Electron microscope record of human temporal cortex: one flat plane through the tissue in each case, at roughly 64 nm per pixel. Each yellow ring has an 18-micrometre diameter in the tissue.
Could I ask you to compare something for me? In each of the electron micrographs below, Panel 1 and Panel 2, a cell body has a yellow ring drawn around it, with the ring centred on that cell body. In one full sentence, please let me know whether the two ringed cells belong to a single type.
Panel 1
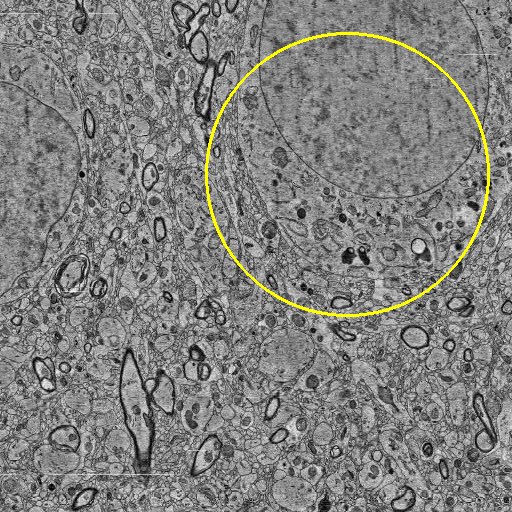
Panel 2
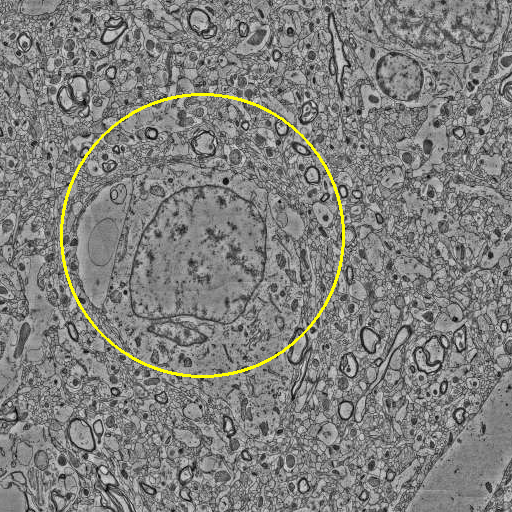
Yes, the two cells at the centres of the rings are of one type.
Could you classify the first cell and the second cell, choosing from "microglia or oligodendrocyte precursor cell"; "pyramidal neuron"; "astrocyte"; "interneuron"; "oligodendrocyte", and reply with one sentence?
The ring centre holds a pyramidal neuron in each of the two pictures.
